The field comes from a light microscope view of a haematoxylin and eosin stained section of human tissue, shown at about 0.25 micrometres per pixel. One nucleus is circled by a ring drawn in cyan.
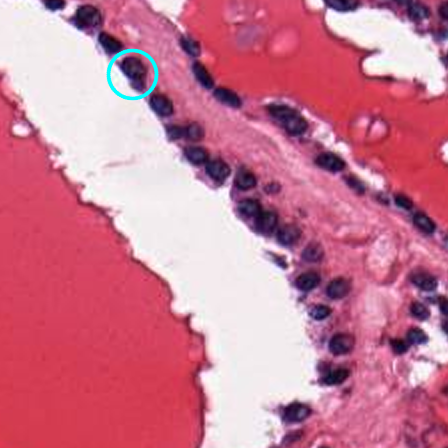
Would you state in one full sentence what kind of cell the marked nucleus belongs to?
Singled out by the mark is the nucleus of a thyroid follicular cell.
